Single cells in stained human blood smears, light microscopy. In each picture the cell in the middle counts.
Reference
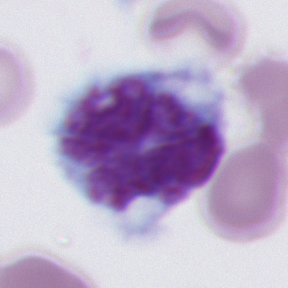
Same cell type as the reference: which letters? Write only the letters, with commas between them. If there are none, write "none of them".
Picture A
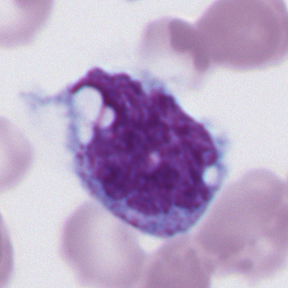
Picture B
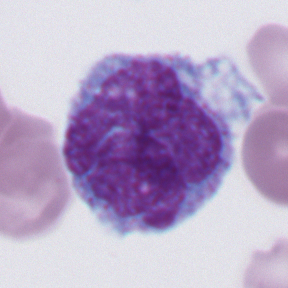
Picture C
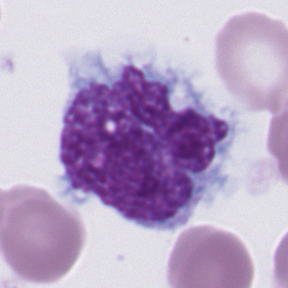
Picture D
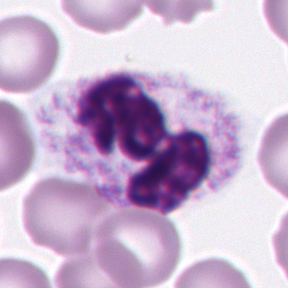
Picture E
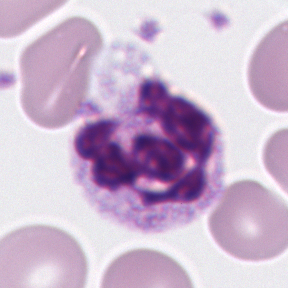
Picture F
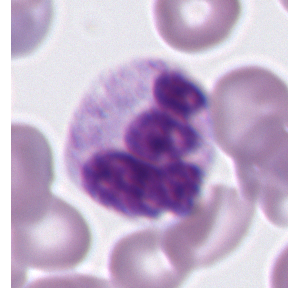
A, B, C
